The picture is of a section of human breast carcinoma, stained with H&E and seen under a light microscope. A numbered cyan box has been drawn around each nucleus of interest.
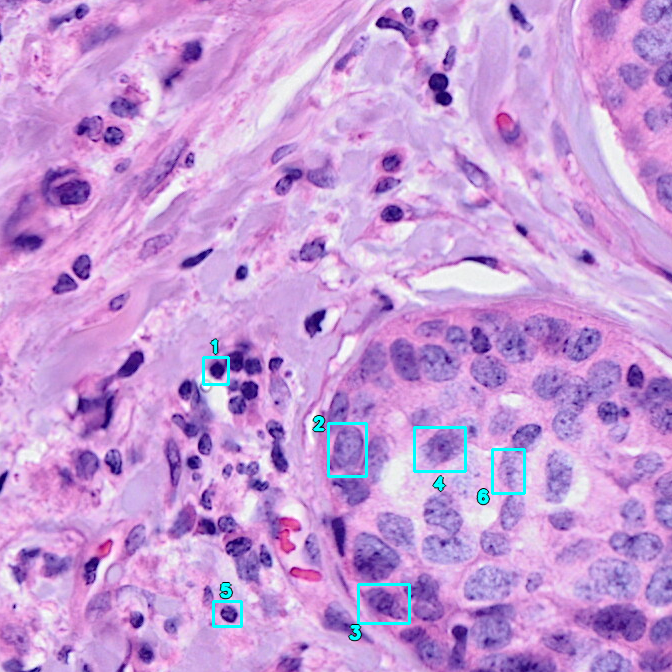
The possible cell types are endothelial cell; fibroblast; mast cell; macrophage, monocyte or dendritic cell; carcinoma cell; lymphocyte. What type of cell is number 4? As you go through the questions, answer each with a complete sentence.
What the number 4 marks in this field is a carcinoma cell.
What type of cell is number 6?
Cell 6 in the field of view is a carcinoma cell.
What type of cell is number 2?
Here, the cell given the number 2 is a carcinoma cell.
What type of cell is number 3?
Cell 3, as marked in the section, is a carcinoma cell.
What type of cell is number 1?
Cell 1 in the field is a lymphocyte.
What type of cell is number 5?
Cell 5 is classified as a lymphocyte.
